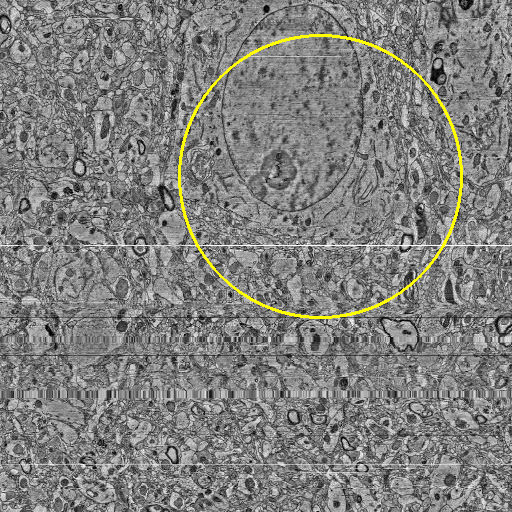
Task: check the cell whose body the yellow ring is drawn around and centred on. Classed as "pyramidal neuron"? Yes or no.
Yes, it is classed that way.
